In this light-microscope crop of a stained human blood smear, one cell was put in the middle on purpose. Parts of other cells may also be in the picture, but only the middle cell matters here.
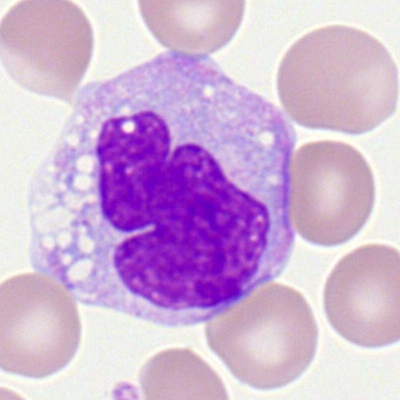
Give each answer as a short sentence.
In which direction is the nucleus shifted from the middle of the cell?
It is shifted toward the bottom of the cell.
